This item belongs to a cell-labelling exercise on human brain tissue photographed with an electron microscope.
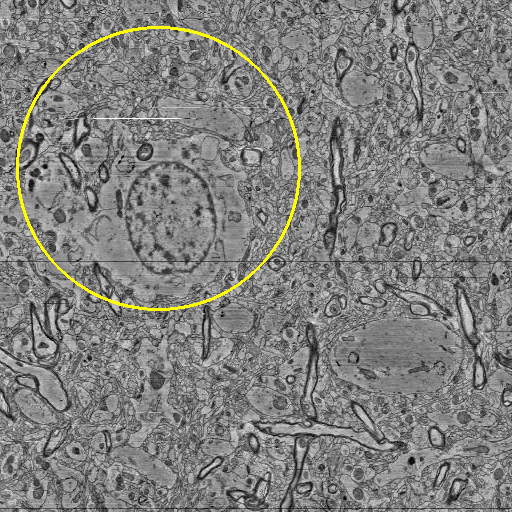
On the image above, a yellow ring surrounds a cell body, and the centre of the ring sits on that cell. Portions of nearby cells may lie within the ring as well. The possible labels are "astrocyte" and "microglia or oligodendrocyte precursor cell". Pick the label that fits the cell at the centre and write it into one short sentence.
This cell should be labelled as an astrocyte.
